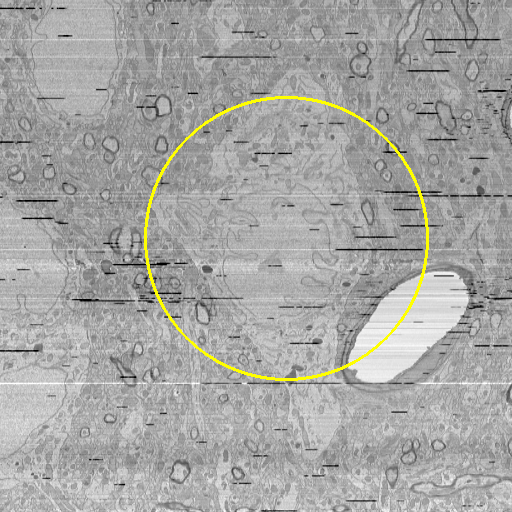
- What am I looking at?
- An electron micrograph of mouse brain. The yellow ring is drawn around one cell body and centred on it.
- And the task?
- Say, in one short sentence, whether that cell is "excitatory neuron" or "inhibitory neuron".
The cell in the middle of the ring is an inhibitory neuron.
